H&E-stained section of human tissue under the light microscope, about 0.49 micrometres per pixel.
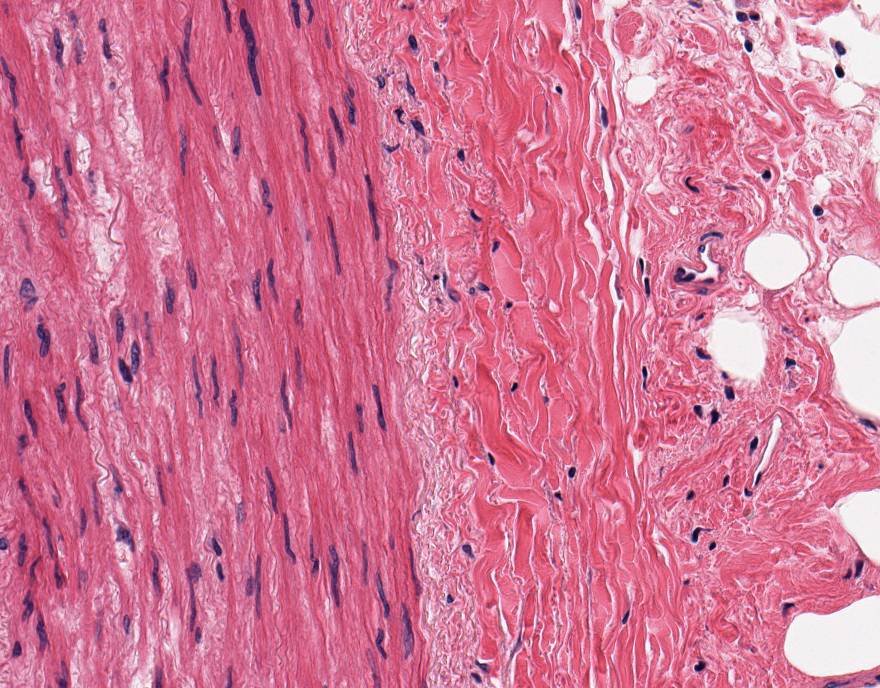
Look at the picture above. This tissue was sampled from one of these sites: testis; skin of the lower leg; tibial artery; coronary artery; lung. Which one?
coronary artery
